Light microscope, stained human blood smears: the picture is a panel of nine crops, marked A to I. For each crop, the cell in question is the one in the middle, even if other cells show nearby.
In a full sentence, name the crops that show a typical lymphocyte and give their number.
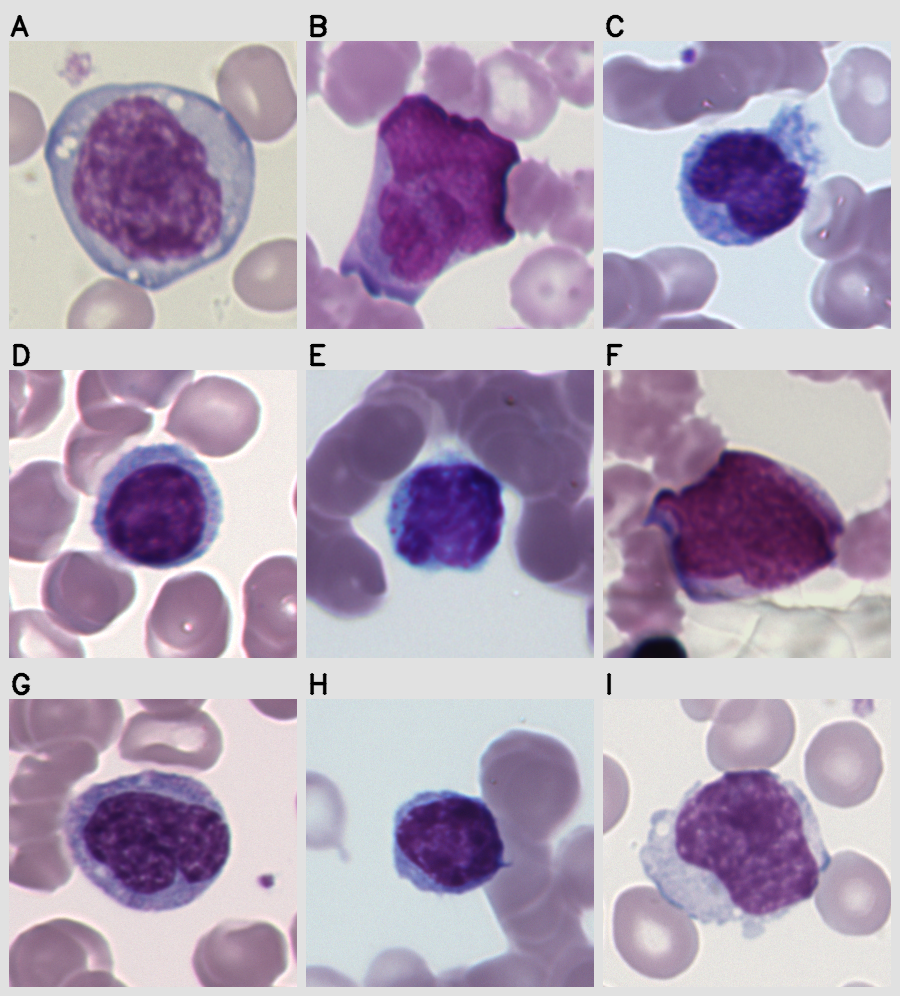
The set of crops showing typical lymphocytes comprises three, namely D, E and H.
